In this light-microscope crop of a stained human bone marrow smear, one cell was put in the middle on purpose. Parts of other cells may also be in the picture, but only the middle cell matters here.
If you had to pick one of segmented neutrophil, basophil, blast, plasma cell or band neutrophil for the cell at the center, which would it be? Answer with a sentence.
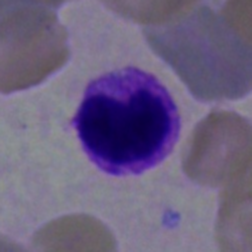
The cell at the heart of this crop is a basophil.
